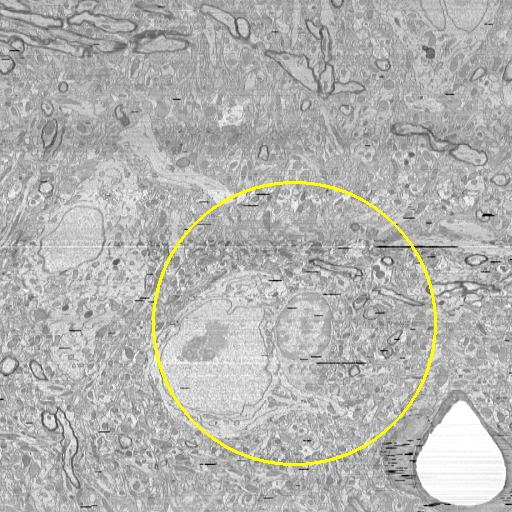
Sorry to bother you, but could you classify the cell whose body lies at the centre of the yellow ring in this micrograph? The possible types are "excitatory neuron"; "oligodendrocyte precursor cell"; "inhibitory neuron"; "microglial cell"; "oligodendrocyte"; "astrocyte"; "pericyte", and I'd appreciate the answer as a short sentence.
The ringed cell body is that of an oligodendrocyte.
